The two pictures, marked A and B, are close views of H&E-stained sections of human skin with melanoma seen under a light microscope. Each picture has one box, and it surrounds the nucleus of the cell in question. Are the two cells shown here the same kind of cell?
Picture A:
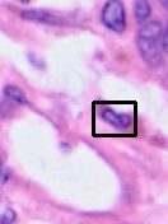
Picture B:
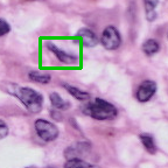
no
